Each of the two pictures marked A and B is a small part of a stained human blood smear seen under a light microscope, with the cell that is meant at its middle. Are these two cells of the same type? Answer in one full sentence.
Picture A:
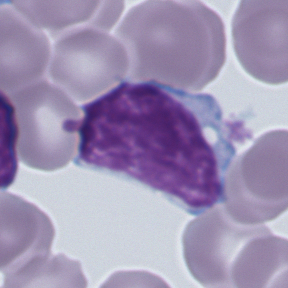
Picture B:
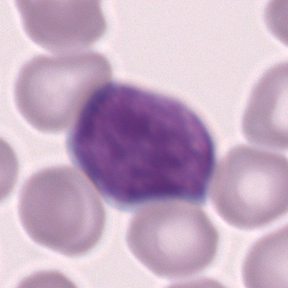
No; the cell in picture A is a typical lymphocyte, while the one in picture B is a myeloblast.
